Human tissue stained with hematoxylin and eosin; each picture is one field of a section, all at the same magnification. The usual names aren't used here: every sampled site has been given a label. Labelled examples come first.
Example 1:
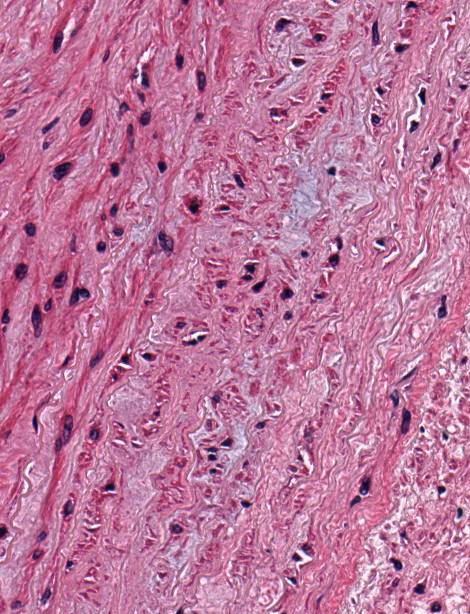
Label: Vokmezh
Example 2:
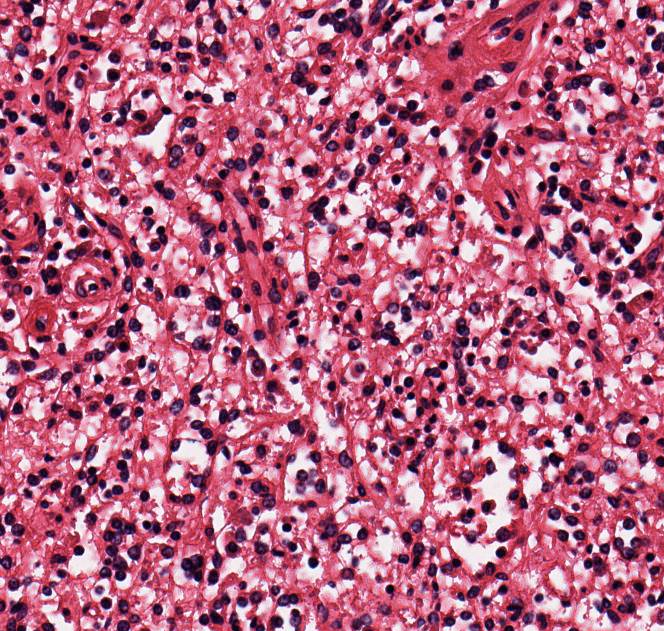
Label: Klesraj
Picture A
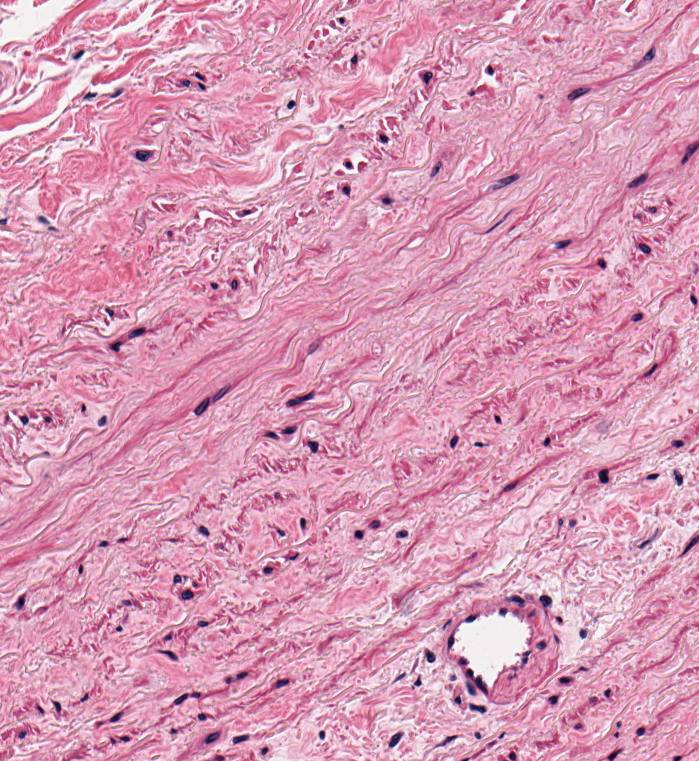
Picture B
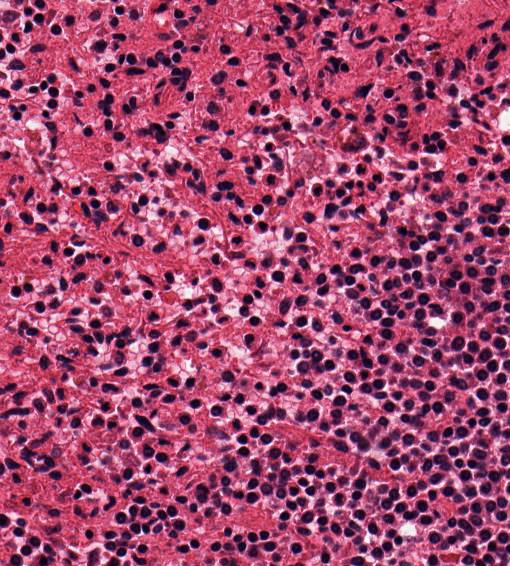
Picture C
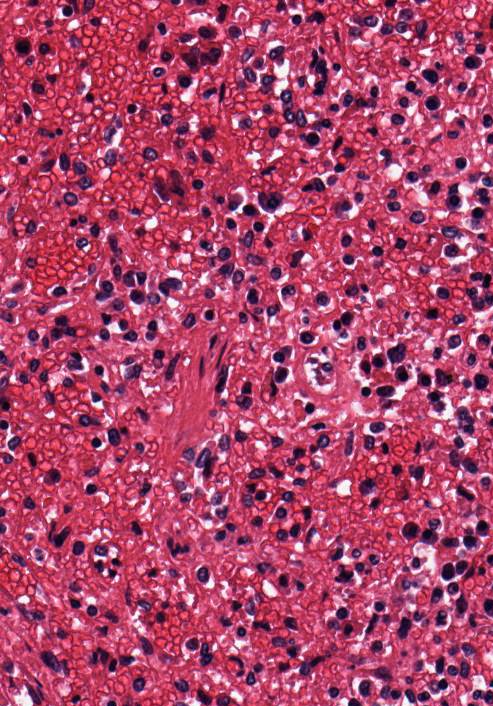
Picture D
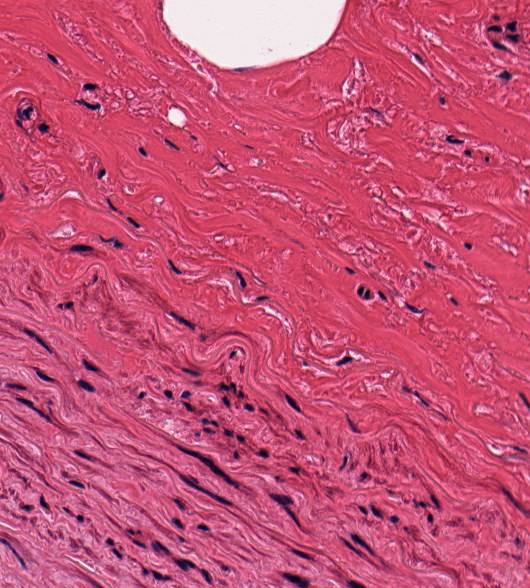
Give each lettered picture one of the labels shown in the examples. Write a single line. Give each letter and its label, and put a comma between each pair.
A Vokmezh, B Klesraj, C Klesraj, D Vokmezh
